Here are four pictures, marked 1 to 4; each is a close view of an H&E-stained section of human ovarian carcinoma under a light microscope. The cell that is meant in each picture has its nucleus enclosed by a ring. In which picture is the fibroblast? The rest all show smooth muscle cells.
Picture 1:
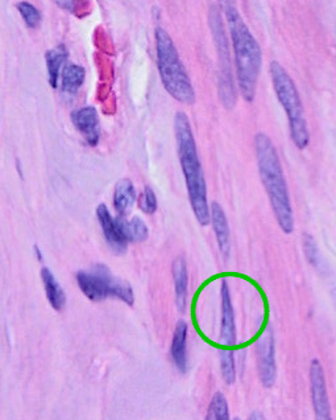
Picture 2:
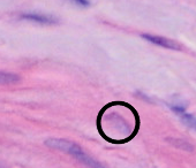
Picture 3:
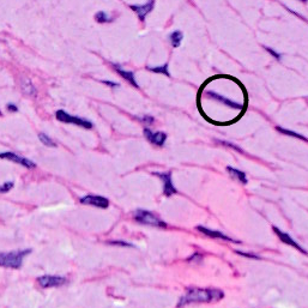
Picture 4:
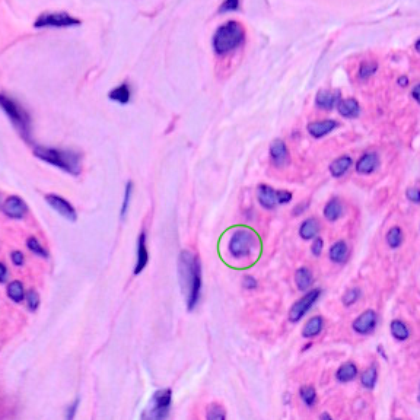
3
